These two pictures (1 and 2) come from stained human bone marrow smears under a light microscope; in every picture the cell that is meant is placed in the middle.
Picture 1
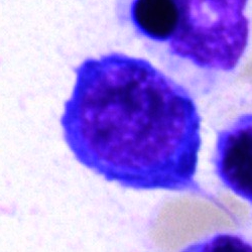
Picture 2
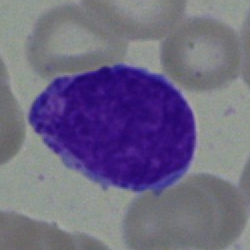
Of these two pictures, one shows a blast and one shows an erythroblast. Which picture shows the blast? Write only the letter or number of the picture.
2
